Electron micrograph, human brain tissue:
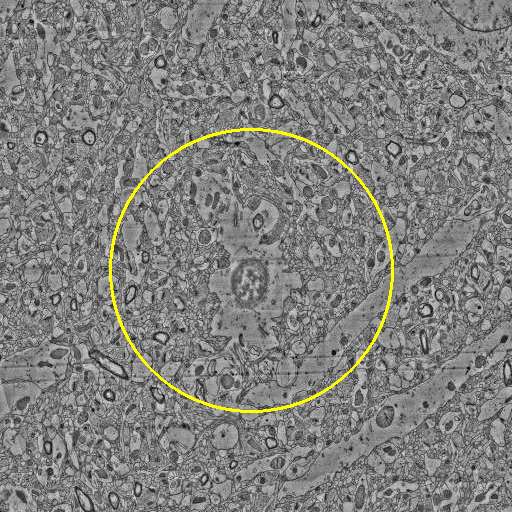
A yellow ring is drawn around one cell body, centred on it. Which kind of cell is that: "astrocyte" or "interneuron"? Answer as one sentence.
It is an astrocyte at the centre of the ring.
